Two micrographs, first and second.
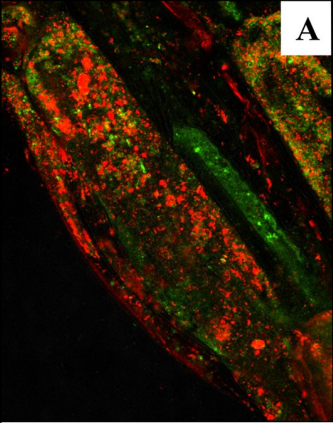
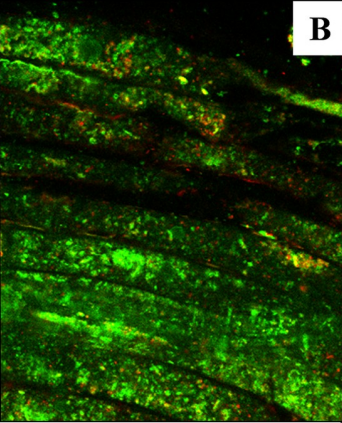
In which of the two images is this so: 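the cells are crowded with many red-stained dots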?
the first image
